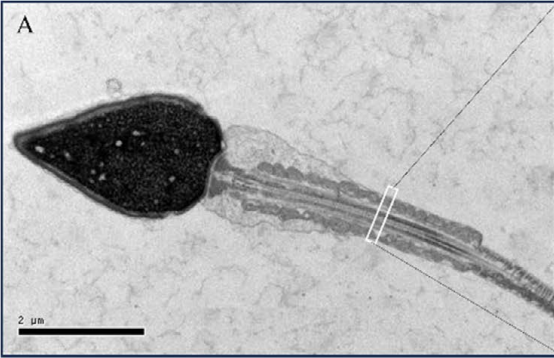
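A single sperm cell seen lengthwise. The head is pointed at its front end and broad at the back, filled with uniformly very dense, dark material broken only by a few tiny pale spots. Behind the head a short neck leads into a thickened midpiece, where a banded, segmented sheath of mitochondria wraps the central filament of the tail. A loose pale envelope of membrane and cytoplasm surrounds the front of the midpiece.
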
